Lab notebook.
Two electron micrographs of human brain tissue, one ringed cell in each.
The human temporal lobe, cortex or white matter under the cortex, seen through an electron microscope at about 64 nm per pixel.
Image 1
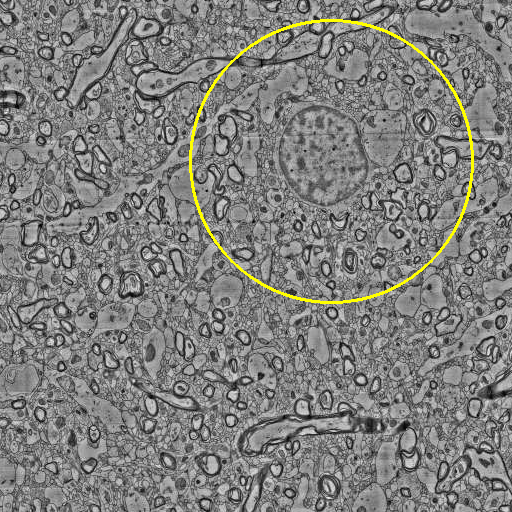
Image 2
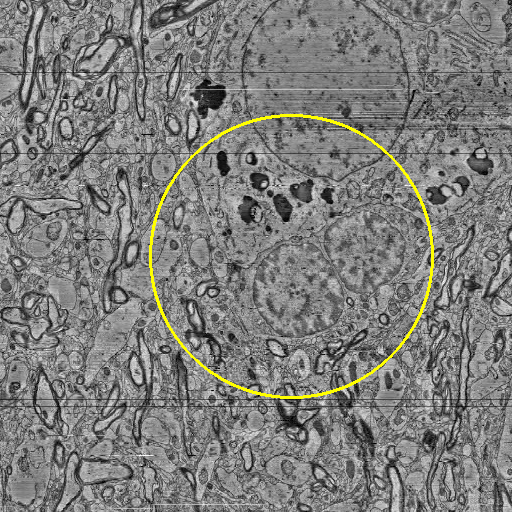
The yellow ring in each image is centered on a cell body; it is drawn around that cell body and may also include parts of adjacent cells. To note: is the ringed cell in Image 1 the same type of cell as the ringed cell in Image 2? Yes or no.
yes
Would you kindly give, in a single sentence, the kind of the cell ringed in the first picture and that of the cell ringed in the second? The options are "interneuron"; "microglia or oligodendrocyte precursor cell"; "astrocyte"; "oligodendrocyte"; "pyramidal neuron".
The first and the second cell are each an oligodendrocyte.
